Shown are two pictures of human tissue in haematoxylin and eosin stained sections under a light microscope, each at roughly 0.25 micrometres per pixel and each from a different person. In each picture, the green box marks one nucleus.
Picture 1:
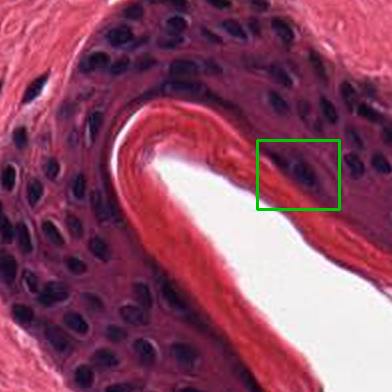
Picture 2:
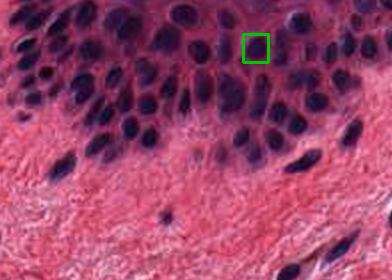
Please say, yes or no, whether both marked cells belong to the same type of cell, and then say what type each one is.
Yes, both are keratinocytes.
